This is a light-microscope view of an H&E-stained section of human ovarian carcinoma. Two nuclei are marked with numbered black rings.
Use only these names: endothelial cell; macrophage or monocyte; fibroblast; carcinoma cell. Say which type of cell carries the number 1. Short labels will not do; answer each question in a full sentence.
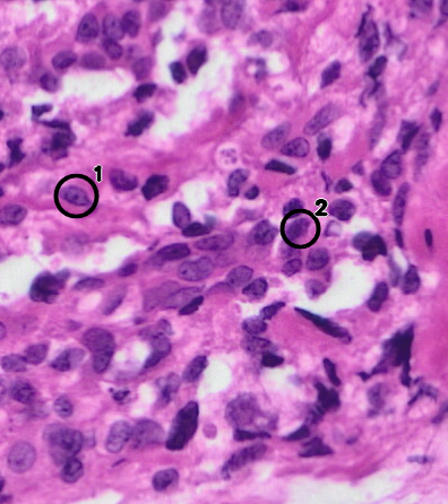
Belonging to a macrophage or monocyte is the nucleus that carries the number 1.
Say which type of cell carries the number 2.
The identity of cell 2 is that of a carcinoma cell.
